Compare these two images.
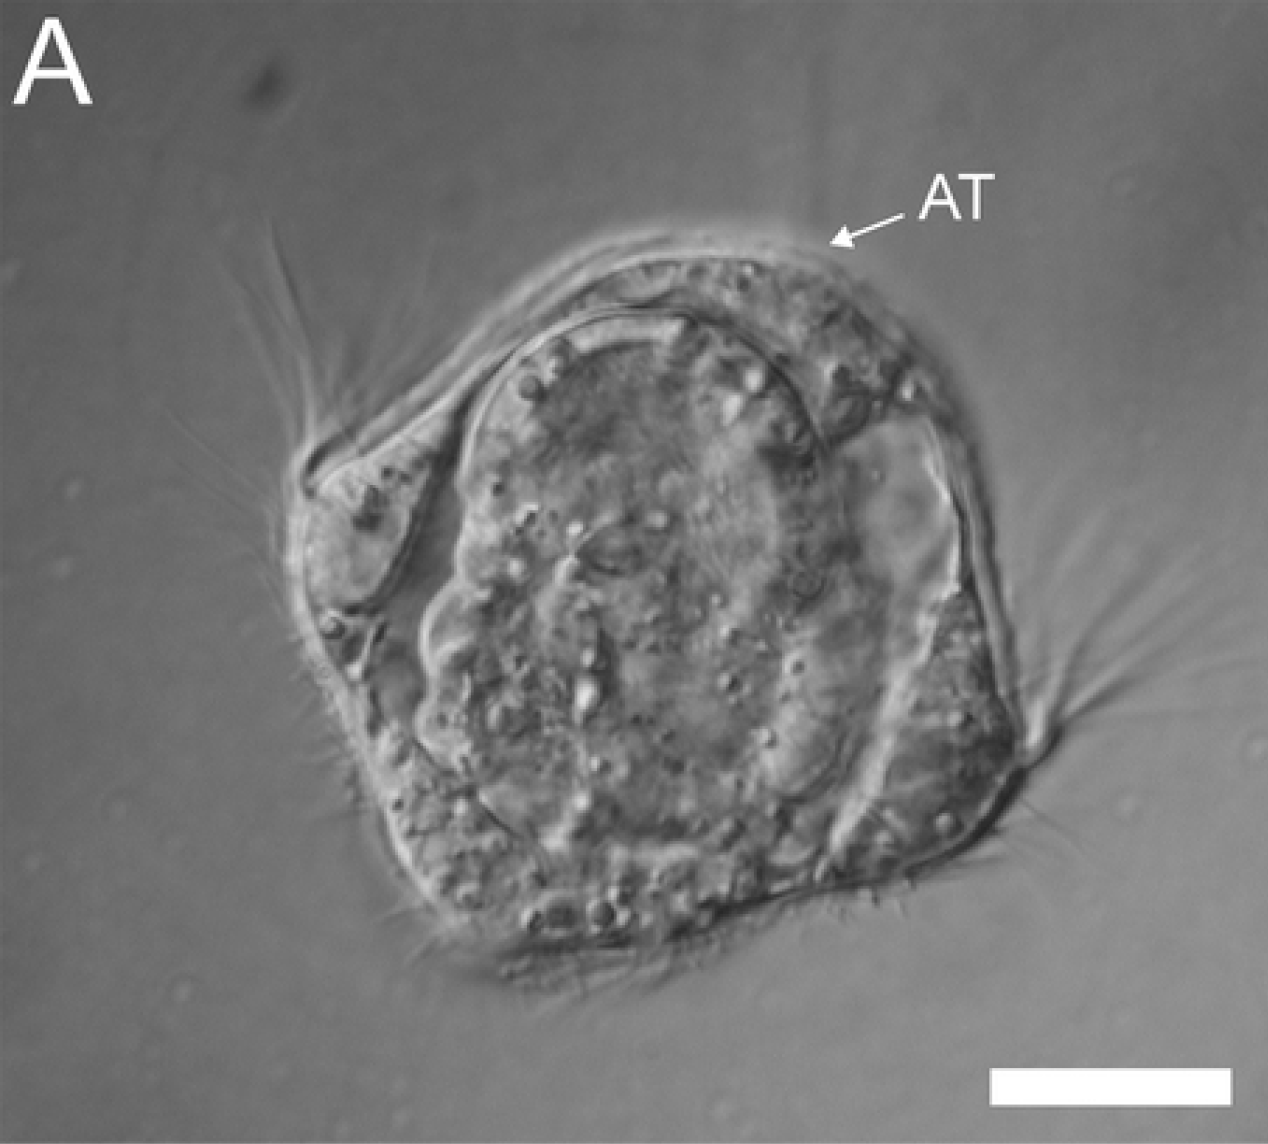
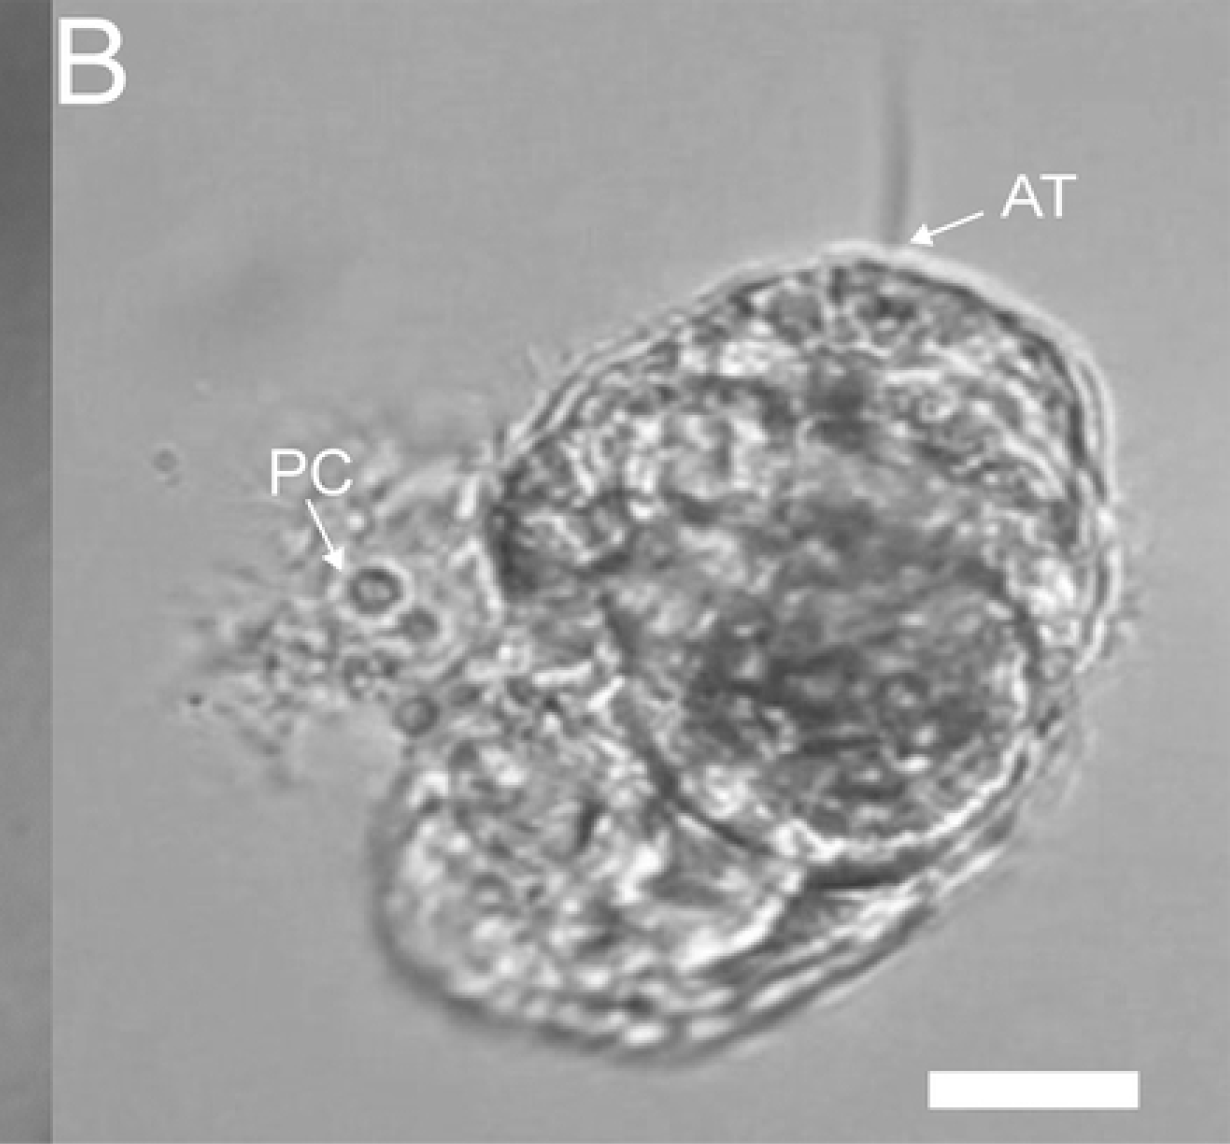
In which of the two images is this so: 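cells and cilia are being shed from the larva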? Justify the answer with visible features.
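The second image. Second image: a cluster of small rounded cells and debris lies free beside the larva, and long cilia are scarce. First image: the body outline is intact with long bundles of cilia projecting from its sides.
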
